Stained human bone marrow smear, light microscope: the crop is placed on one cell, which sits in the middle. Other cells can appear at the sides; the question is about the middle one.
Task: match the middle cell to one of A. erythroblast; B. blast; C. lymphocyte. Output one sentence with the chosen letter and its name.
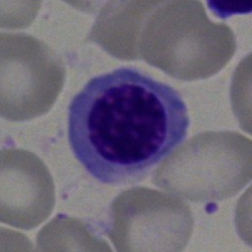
That middle cell is an erythroblast, and option A is therefore correct.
